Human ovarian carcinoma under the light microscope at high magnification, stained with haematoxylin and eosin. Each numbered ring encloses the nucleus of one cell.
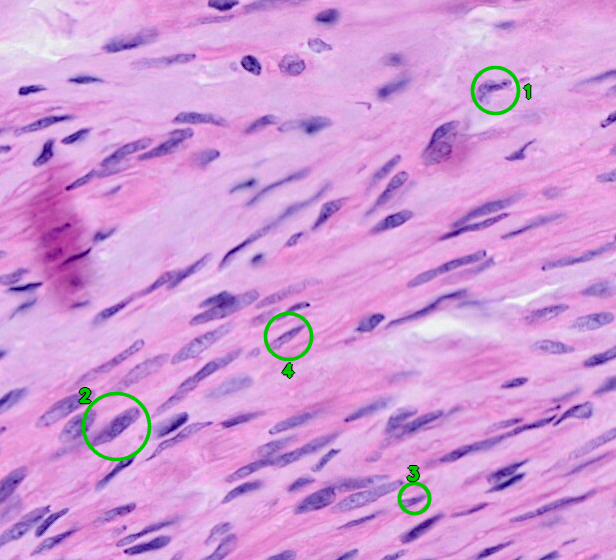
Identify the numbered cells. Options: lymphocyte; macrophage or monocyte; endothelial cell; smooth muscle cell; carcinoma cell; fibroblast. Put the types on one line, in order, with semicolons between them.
fibroblast; smooth muscle cell; smooth muscle cell; smooth muscle cell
